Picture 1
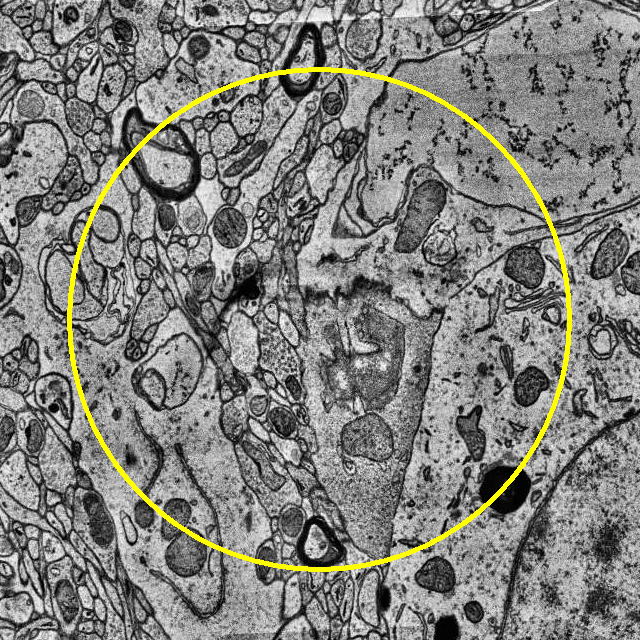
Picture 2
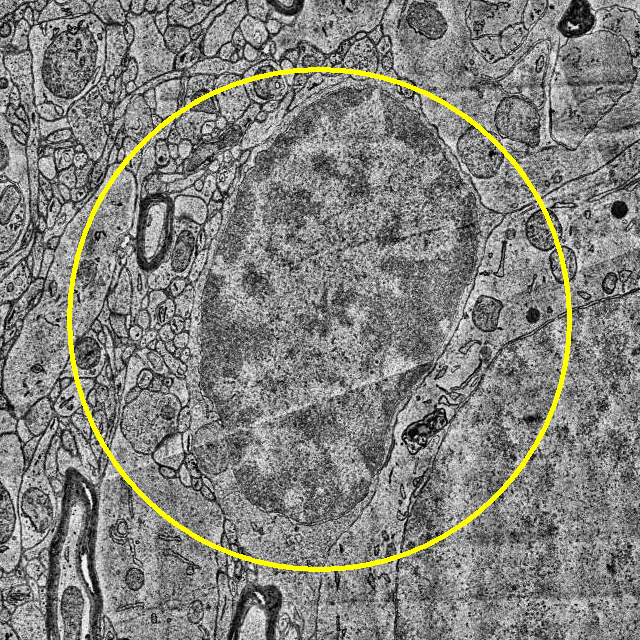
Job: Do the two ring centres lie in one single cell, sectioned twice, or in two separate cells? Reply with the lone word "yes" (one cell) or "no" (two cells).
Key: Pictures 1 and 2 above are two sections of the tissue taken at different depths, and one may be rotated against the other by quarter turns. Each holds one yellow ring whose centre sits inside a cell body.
yes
